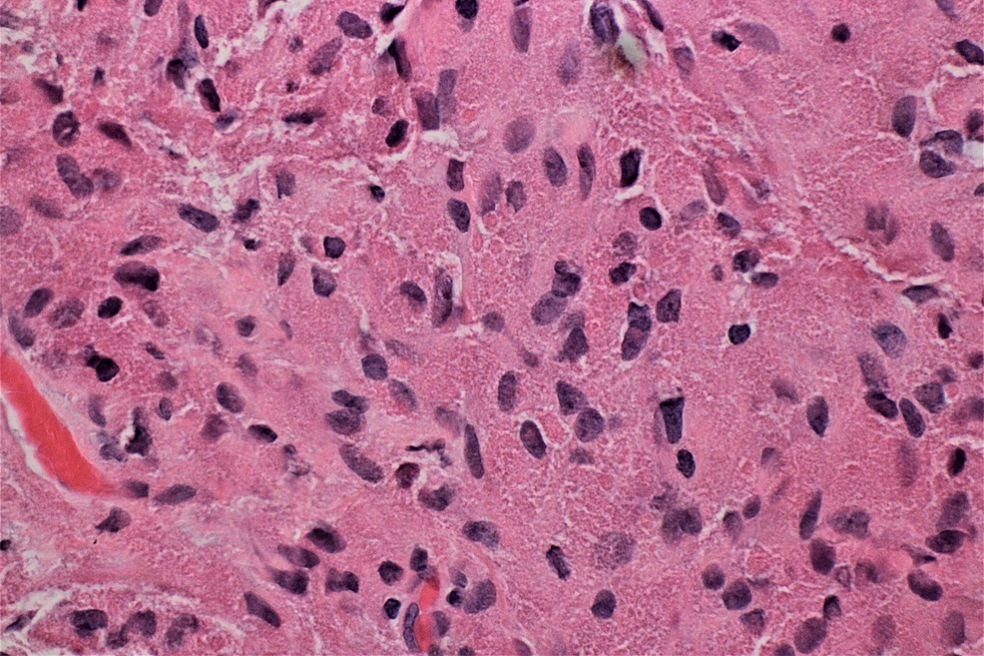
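This is a tumor made up of sheets of cells with abundant pink, granular cytoplasm. The cell borders are hard to make out, so the cytoplasm merges into a continuous grainy pink field. Scattered through it are small, dark purple nuclei that are oval to elongated and spindle-like. No dividing cells stand out. A small blood vessel with bright red content runs along the left edge. Fine clefts cross the tissue here and there.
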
